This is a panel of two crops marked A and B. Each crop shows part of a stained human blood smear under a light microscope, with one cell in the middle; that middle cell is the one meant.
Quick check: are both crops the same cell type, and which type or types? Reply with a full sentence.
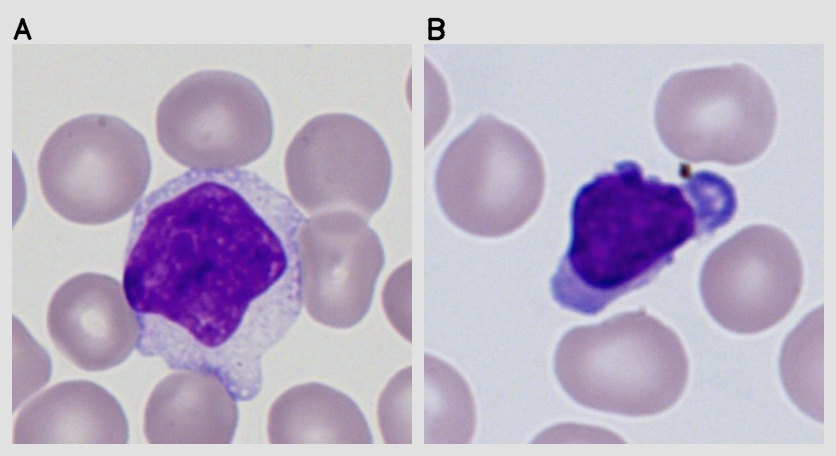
Yes, both crops show lymphocytes, each crop centred on one of them.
